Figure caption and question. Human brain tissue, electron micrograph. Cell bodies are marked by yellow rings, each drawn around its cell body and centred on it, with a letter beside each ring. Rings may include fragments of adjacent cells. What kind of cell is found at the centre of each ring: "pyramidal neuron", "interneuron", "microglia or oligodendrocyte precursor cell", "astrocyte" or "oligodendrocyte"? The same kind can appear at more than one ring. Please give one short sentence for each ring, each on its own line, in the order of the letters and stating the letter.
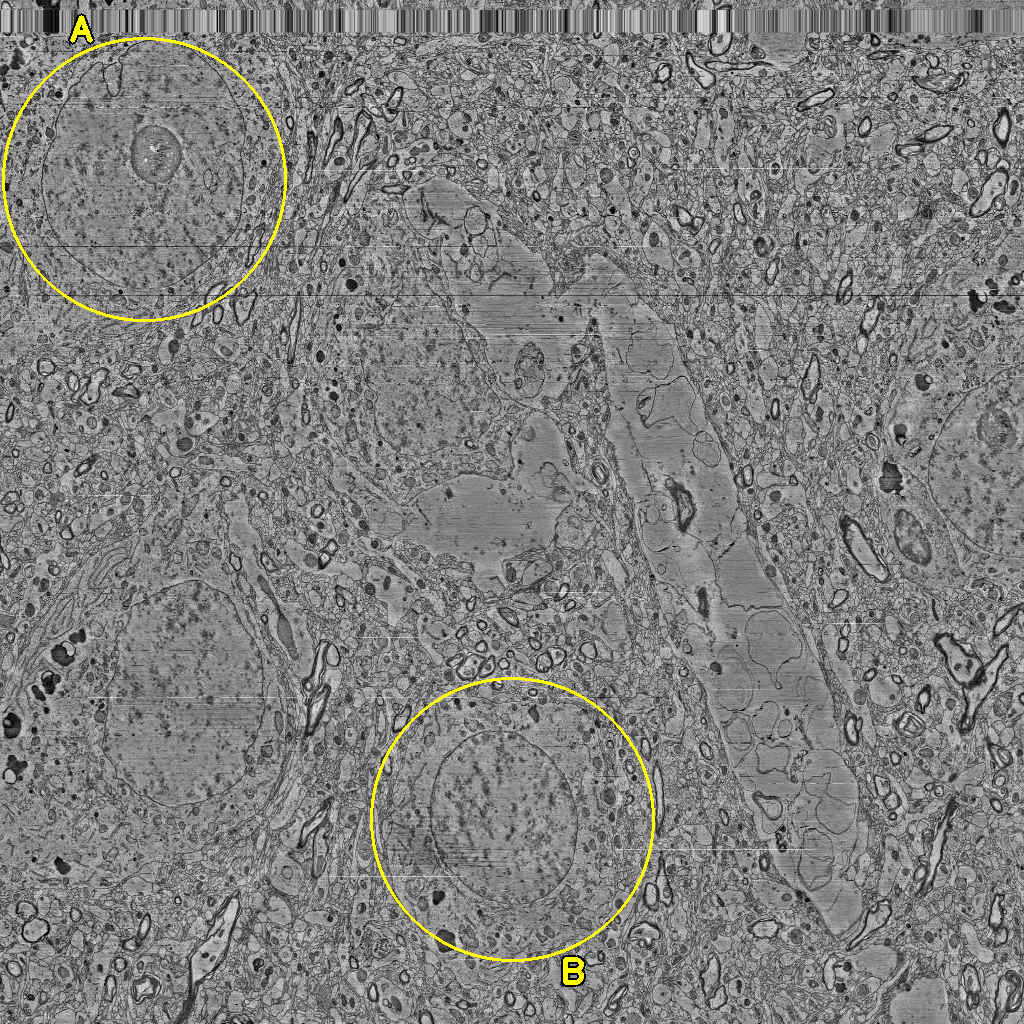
The centre of ring A falls on a pyramidal neuron.
The centre of ring B falls on an interneuron.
